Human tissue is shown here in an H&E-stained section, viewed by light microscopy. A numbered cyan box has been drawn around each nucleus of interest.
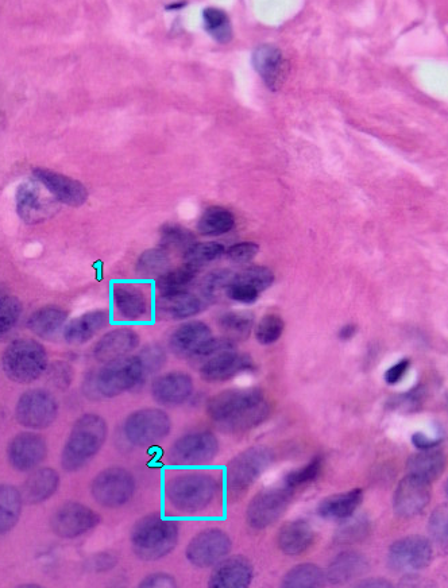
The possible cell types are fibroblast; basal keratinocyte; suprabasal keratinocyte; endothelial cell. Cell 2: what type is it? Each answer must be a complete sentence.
Belonging to a suprabasal keratinocyte is the nucleus that carries the number 2.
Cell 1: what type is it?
The cell tagged with 1 in this tissue section is a basal keratinocyte.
